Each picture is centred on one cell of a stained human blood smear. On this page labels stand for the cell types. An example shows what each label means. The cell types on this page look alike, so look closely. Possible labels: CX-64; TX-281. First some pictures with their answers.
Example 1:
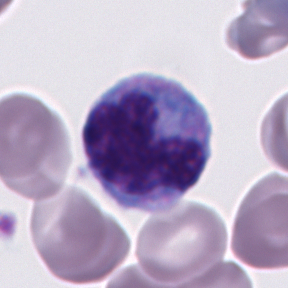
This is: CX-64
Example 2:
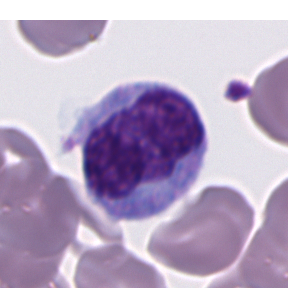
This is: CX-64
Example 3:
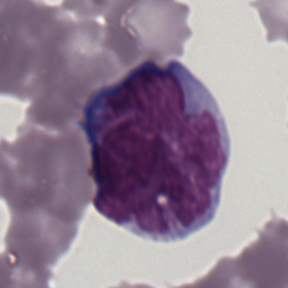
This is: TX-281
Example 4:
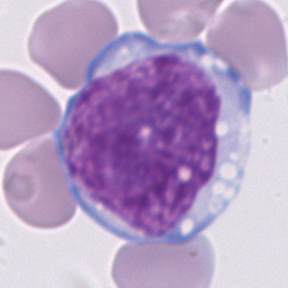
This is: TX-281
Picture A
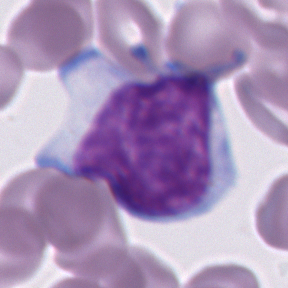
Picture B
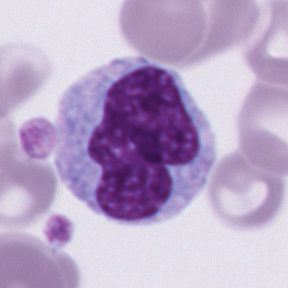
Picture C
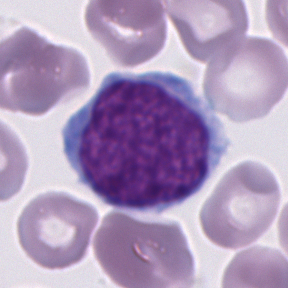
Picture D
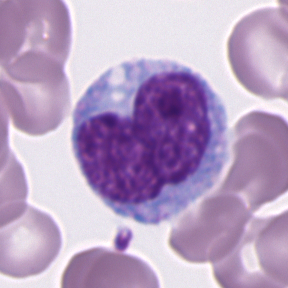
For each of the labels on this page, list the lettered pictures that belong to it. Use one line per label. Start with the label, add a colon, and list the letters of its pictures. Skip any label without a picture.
CX-64: B, D
TX-281: A, C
